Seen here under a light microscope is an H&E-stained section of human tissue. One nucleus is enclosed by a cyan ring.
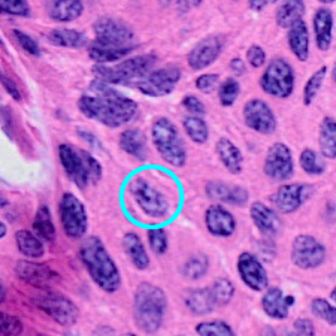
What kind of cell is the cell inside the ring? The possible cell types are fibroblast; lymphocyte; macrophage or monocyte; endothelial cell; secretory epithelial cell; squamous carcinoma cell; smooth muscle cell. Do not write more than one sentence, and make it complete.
In cellular terms, the cell inside the ring is a squamous carcinoma cell.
